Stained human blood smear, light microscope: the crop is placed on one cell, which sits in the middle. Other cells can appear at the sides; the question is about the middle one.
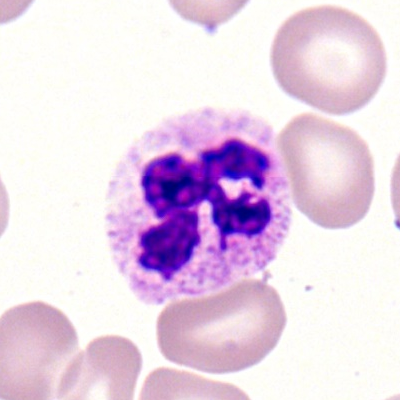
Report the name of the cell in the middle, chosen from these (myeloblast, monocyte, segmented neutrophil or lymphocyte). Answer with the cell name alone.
segmented neutrophil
